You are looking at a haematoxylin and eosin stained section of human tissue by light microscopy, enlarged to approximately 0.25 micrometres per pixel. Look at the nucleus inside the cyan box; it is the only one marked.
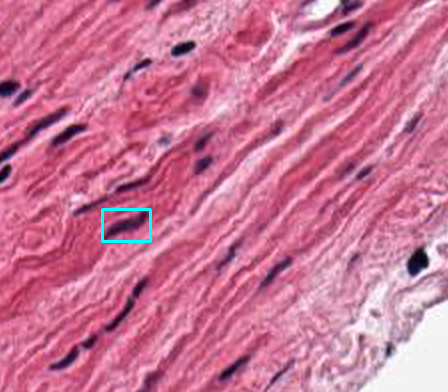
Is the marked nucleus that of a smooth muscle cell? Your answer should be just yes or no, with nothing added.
yes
